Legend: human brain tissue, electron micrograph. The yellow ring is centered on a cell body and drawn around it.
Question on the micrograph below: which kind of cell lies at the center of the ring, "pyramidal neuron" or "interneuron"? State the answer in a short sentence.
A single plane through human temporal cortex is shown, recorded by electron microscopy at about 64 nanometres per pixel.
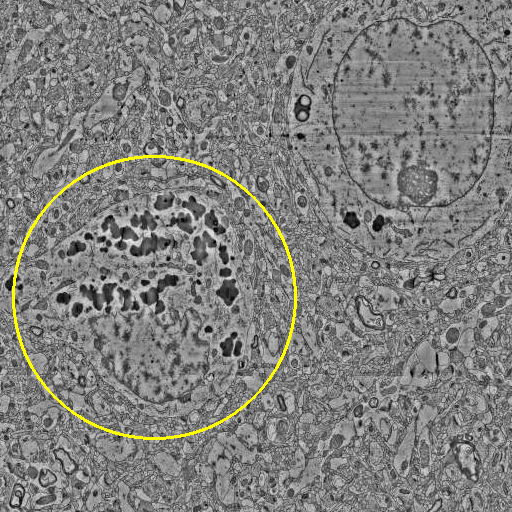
At the center of the ring lies an interneuron.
